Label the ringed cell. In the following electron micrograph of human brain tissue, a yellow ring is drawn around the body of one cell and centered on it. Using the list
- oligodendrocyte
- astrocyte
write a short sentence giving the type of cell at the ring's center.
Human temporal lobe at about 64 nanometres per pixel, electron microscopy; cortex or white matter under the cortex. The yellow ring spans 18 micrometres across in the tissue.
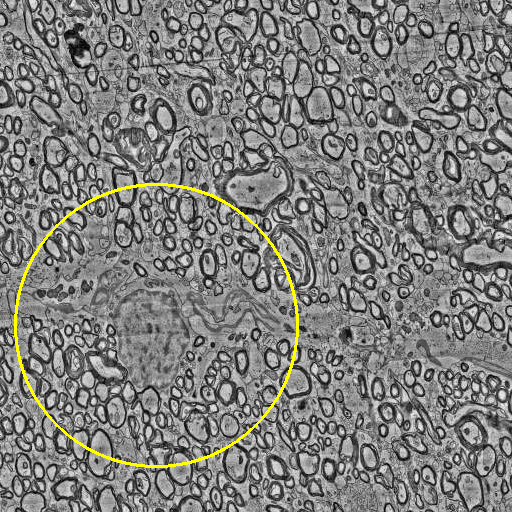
The cell body at the ring's center is that of an oligodendrocyte.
